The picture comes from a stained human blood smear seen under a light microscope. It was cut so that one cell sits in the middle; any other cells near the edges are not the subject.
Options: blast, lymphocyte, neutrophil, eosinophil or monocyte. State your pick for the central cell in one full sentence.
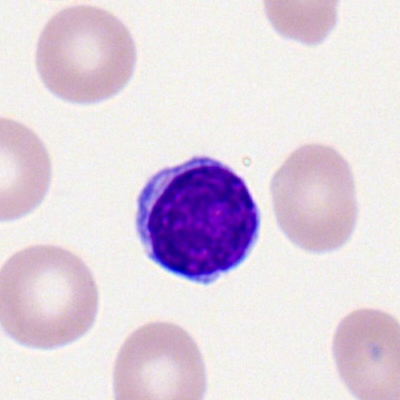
The centrally positioned cell in the crop represents a lymphocyte.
